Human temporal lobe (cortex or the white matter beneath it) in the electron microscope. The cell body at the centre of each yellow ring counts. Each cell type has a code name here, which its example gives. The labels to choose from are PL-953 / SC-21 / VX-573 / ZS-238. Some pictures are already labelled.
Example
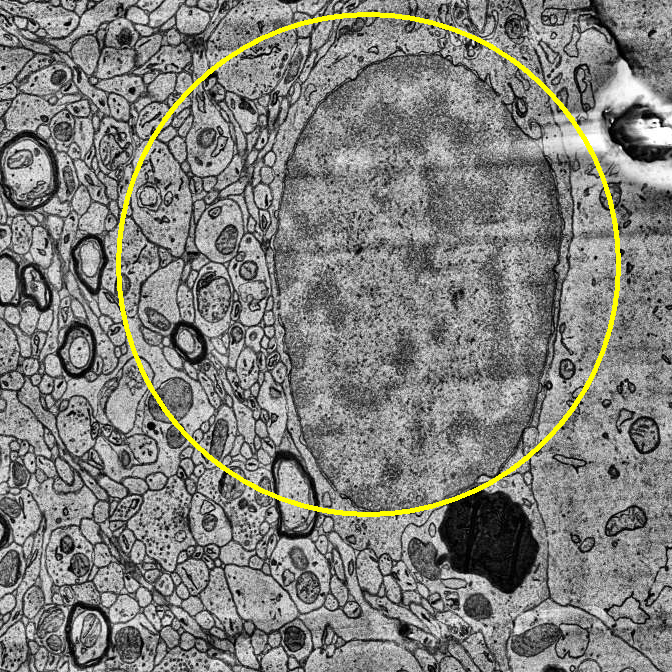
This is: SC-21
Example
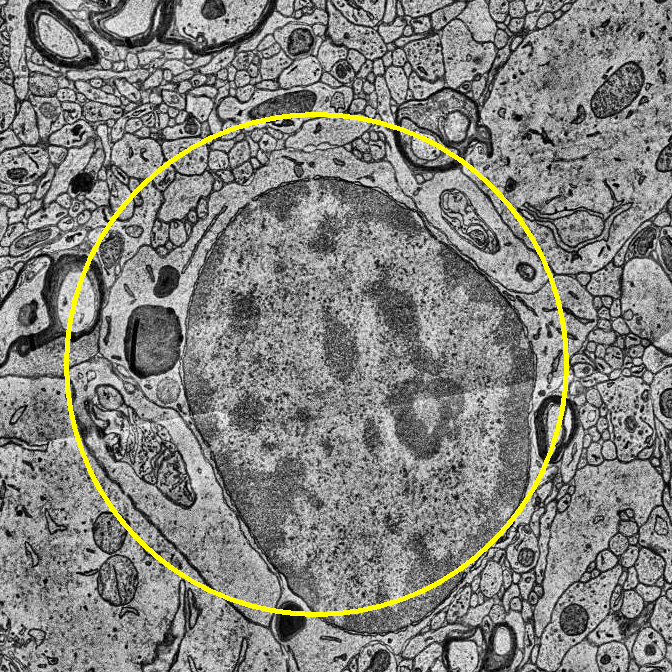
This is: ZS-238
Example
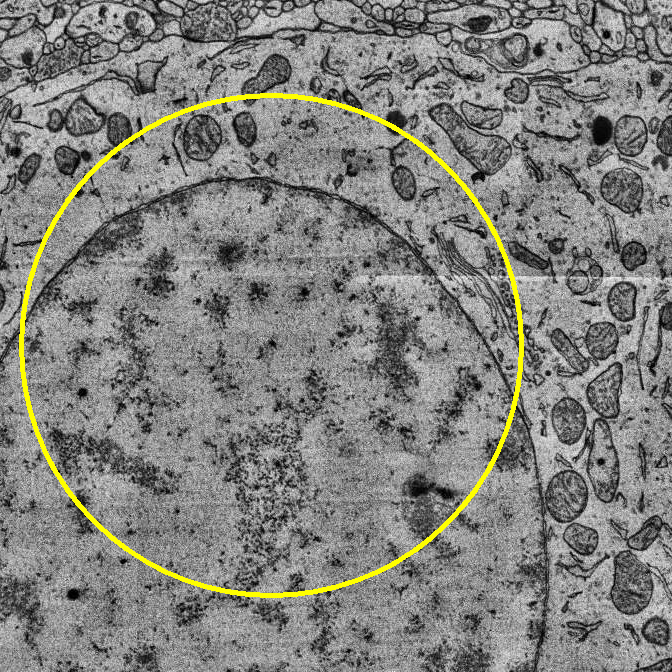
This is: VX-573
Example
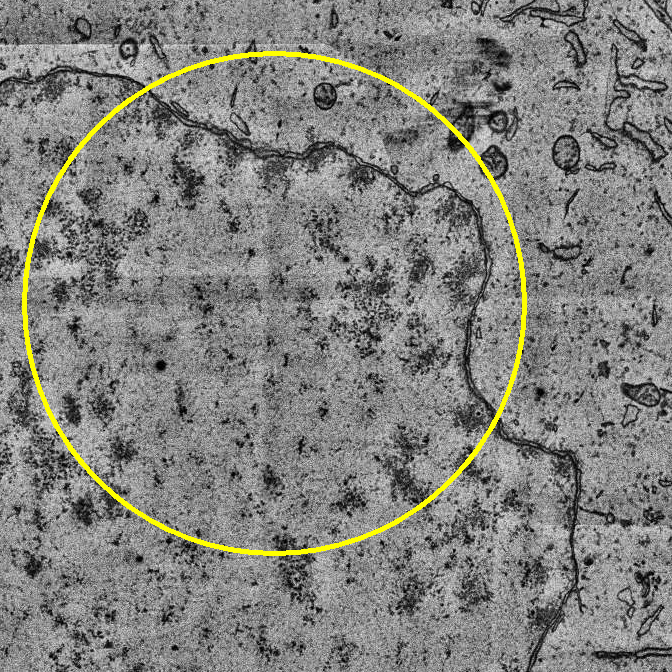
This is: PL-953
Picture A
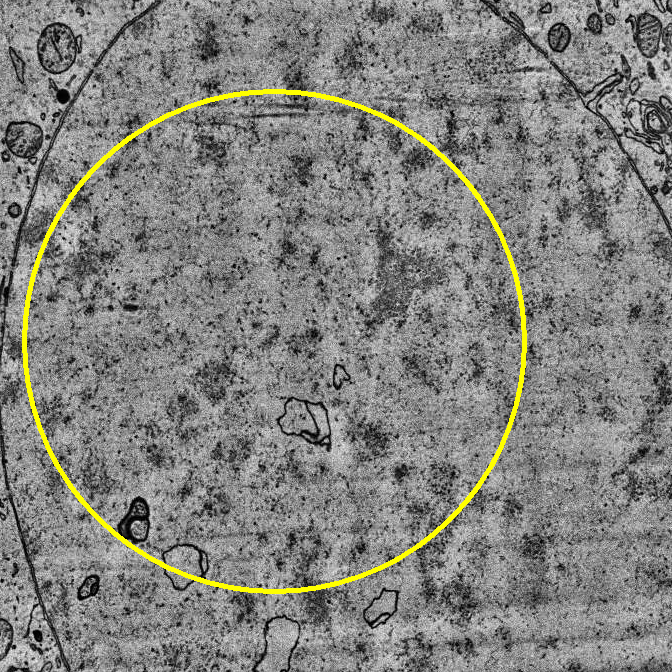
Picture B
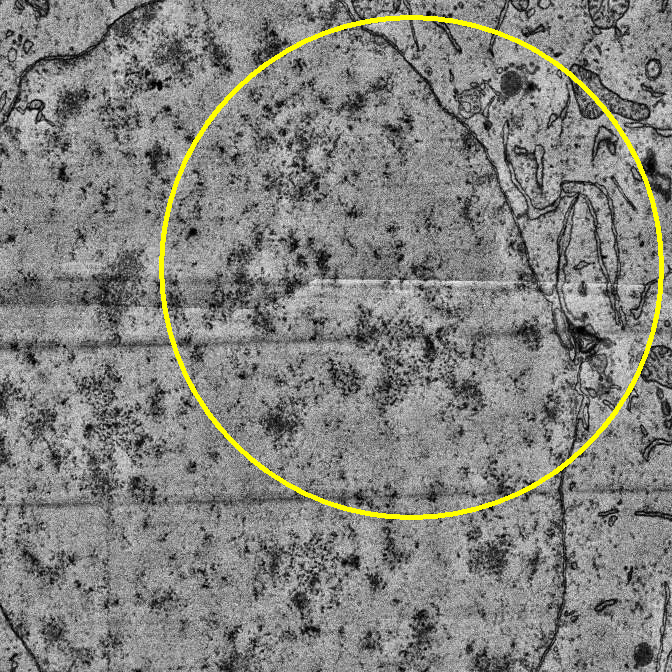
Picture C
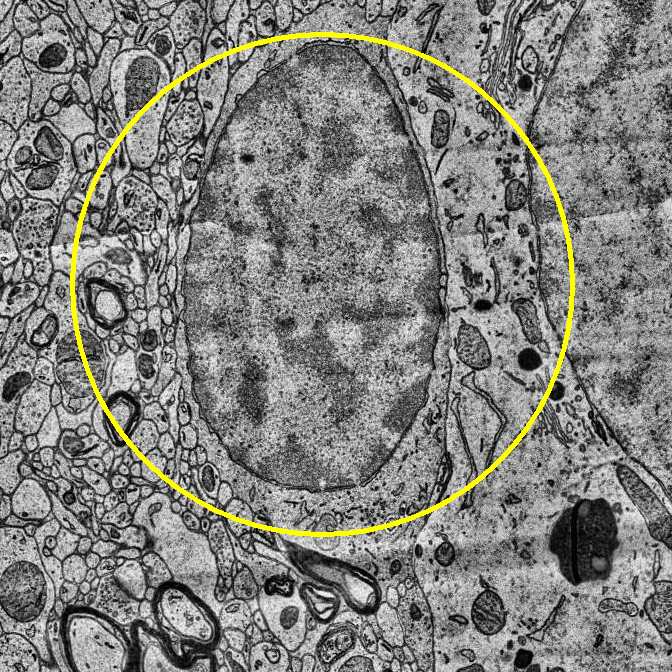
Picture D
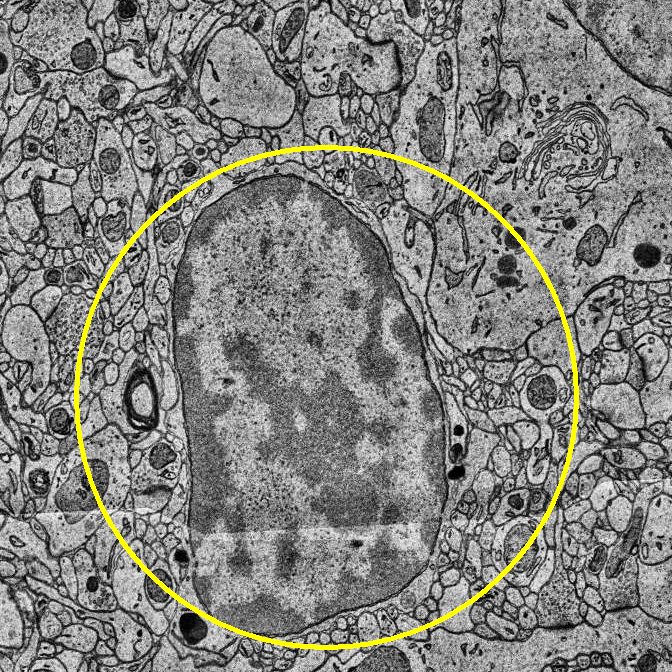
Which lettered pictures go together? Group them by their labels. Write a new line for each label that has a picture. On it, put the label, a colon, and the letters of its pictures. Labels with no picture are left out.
PL-953: A, B
SC-21: C
ZS-238: D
